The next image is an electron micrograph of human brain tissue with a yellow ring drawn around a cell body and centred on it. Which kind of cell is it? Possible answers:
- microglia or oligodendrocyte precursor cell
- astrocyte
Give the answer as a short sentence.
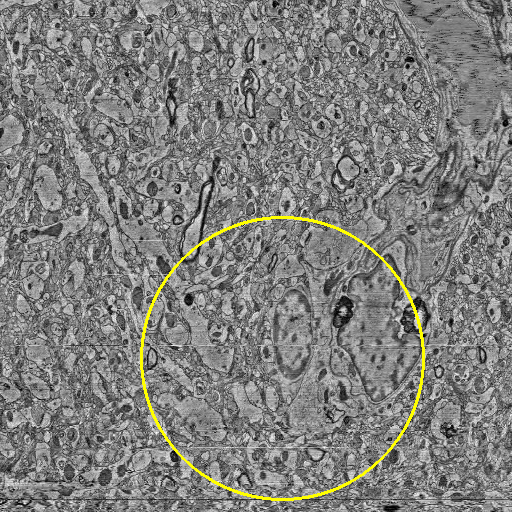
In the ring's centre is a microglial cell or oligodendrocyte precursor cell.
